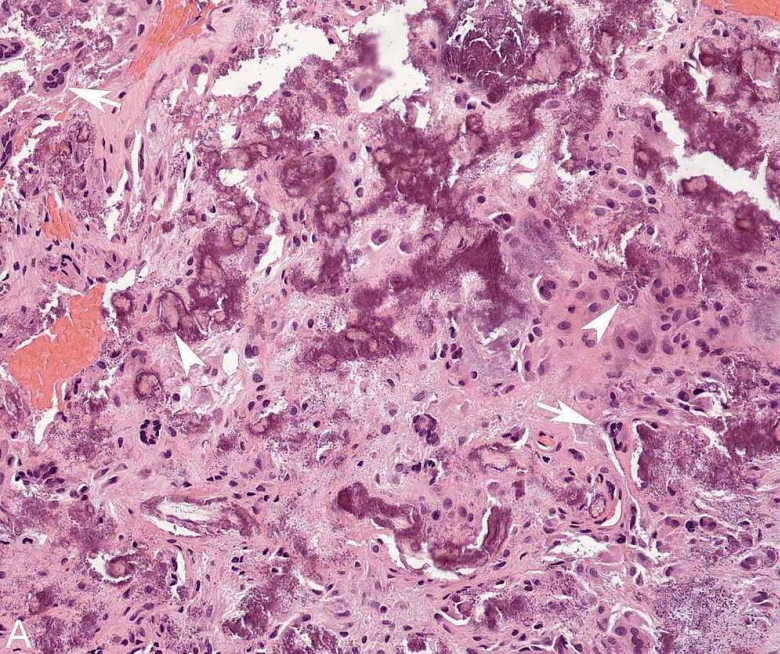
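At lower power the mass shows lacy, irregular dark purple deposits laid through pink extracellular matrix. Between them are many cells with oval nuclei, and small round spaces with rims mark lacunes of chondrocytes. A few clusters of several nuclei in shared cytoplasm are multinucleated giant cells. Bright orange-red patches at the left edge are blood.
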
